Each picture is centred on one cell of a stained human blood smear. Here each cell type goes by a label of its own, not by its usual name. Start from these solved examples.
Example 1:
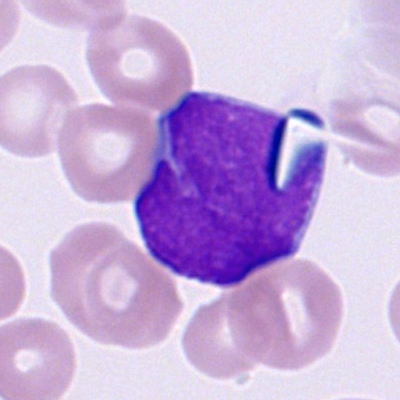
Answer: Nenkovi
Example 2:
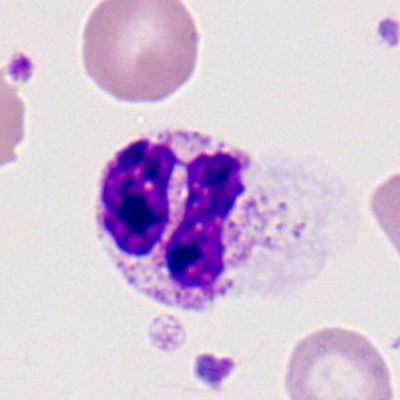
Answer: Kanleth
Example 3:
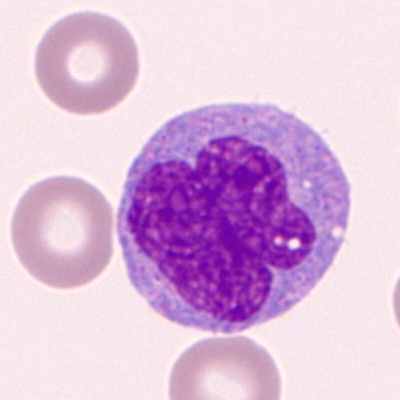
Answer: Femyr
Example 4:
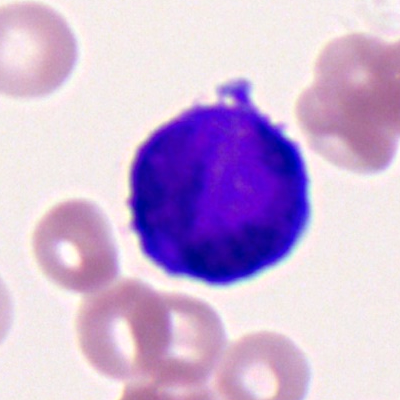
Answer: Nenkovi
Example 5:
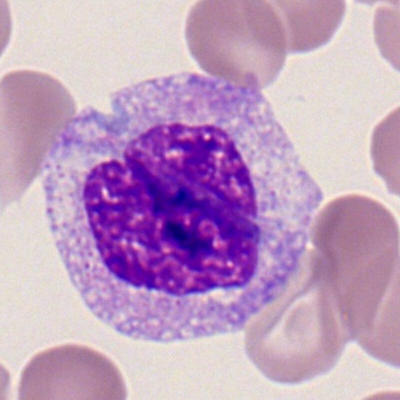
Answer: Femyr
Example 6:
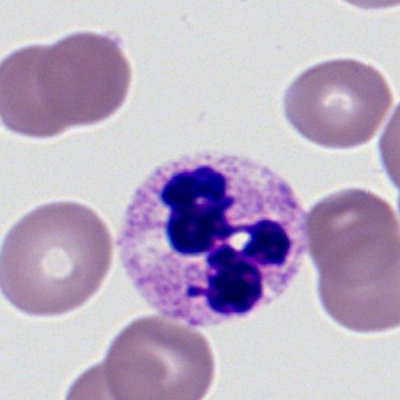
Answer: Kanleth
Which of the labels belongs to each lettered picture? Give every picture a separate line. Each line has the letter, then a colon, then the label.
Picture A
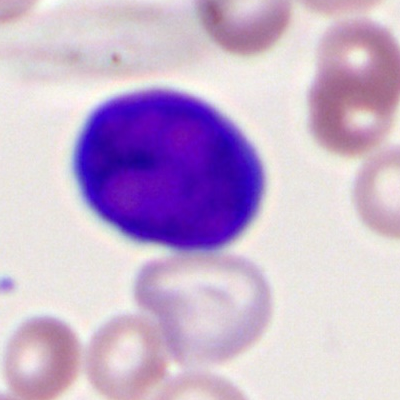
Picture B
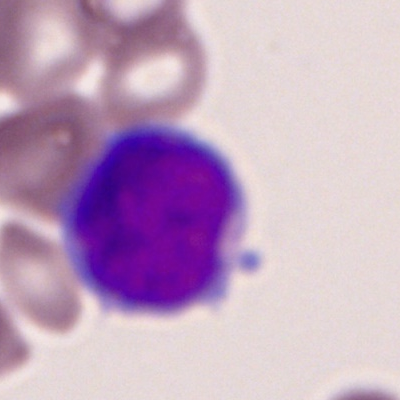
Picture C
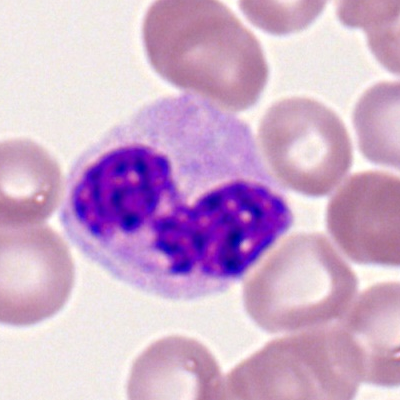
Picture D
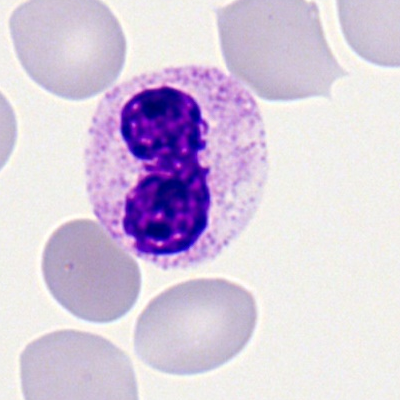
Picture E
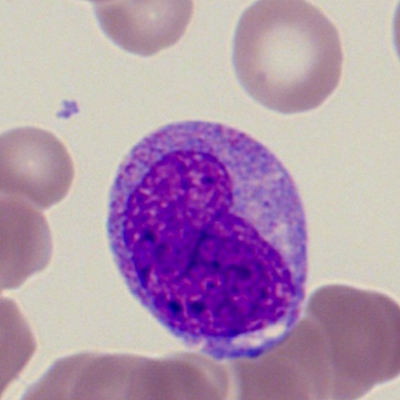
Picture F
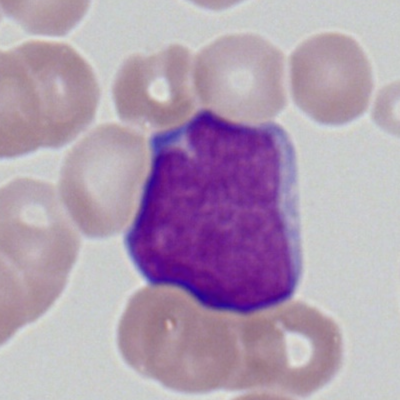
A: Nenkovi
B: Nenkovi
C: Kanleth
D: Kanleth
E: Femyr
F: Nenkovi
